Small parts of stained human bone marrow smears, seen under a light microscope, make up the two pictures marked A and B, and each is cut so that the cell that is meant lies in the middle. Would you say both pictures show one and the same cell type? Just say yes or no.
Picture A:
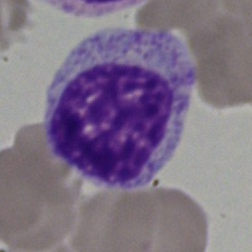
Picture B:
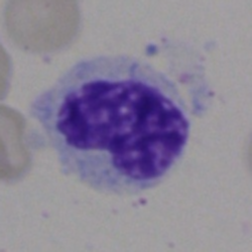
no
